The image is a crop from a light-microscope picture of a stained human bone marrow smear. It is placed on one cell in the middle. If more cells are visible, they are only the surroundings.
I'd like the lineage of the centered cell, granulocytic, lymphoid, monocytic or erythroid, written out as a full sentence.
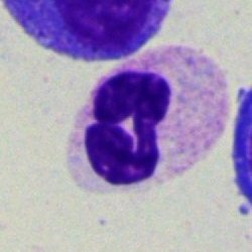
The centered cell is one of the granulocytic lineage.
